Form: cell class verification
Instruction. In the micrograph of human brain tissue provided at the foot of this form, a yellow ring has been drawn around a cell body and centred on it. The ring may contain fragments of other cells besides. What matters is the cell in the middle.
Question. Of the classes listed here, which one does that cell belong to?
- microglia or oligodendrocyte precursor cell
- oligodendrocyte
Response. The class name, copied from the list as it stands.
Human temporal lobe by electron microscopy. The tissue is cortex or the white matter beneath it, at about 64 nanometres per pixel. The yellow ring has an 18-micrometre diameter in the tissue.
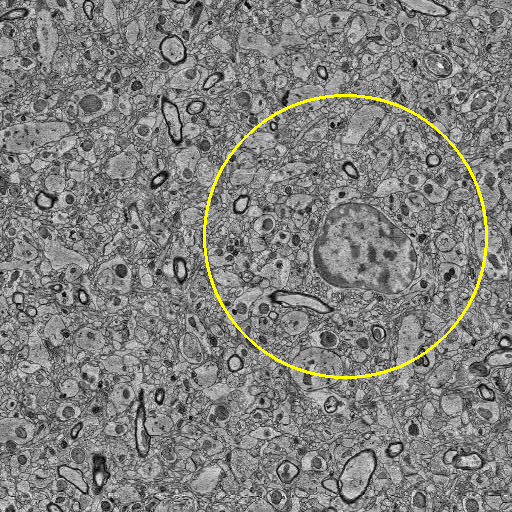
microglia or oligodendrocyte precursor cell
